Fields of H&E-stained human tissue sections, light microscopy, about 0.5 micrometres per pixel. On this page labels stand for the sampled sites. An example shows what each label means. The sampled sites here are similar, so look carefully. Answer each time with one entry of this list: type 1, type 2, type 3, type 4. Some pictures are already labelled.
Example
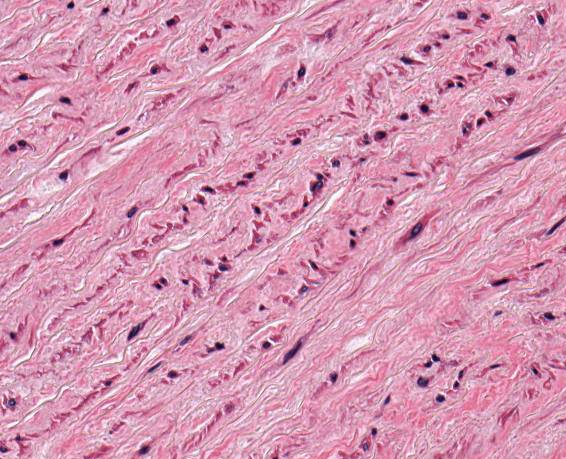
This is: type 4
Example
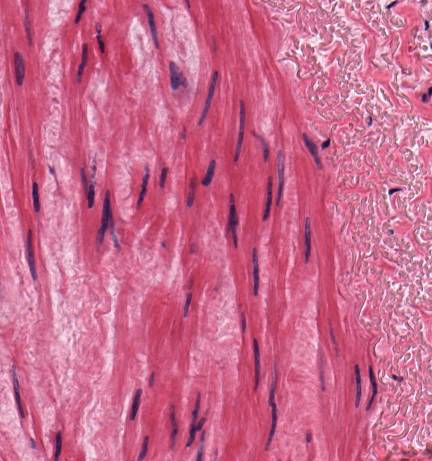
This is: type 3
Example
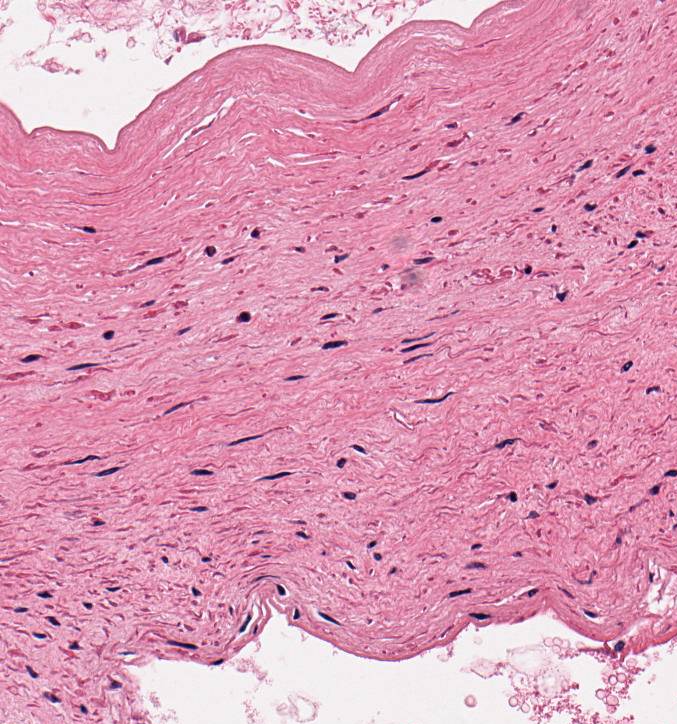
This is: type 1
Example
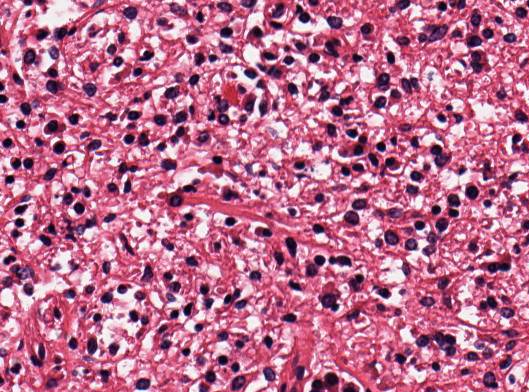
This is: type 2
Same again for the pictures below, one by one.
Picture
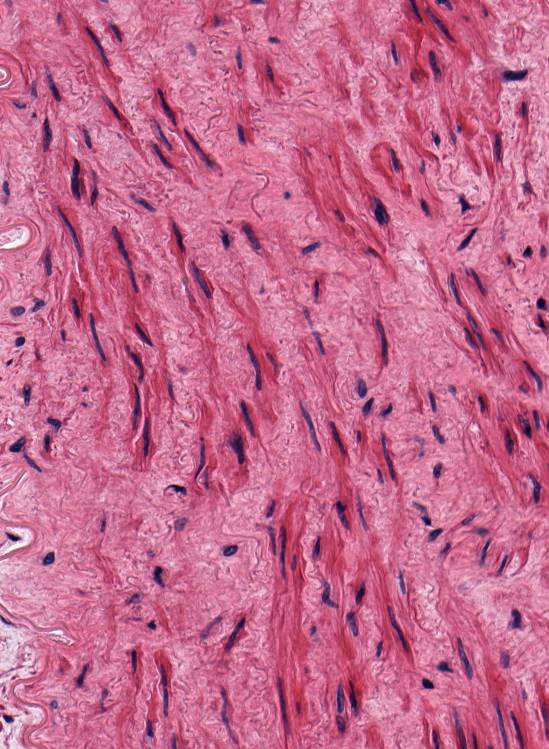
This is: type 3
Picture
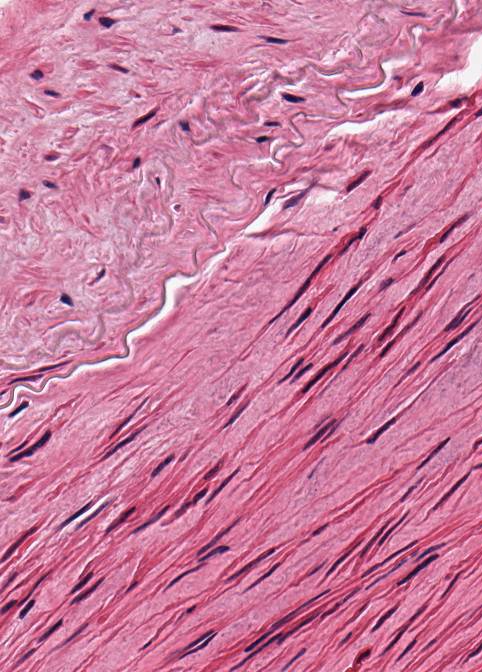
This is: type 3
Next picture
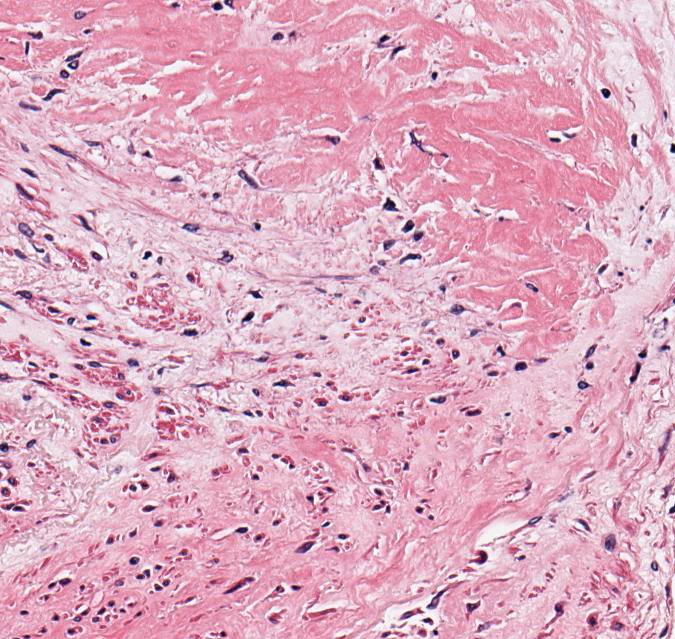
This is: type 3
